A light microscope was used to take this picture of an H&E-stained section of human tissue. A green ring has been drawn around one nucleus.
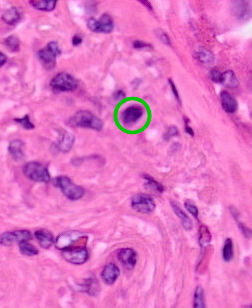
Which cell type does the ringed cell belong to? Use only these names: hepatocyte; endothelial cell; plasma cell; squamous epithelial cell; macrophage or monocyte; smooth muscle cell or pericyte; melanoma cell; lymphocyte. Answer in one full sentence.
It is as a plasma cell that the ringed cell is classified.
